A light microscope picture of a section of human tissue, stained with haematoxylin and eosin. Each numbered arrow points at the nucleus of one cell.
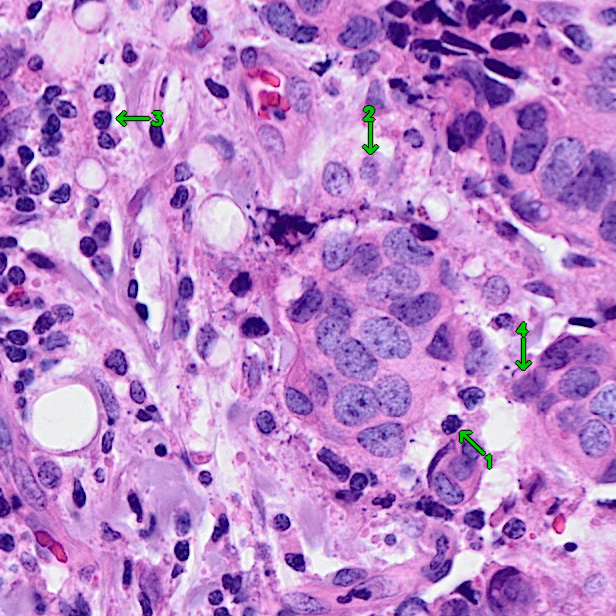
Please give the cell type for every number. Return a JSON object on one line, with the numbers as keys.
{"1": "lymphocyte", "2": "macrophage, monocyte or dendritic cell", "3": "lymphocyte", "4": "carcinoma cell"}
